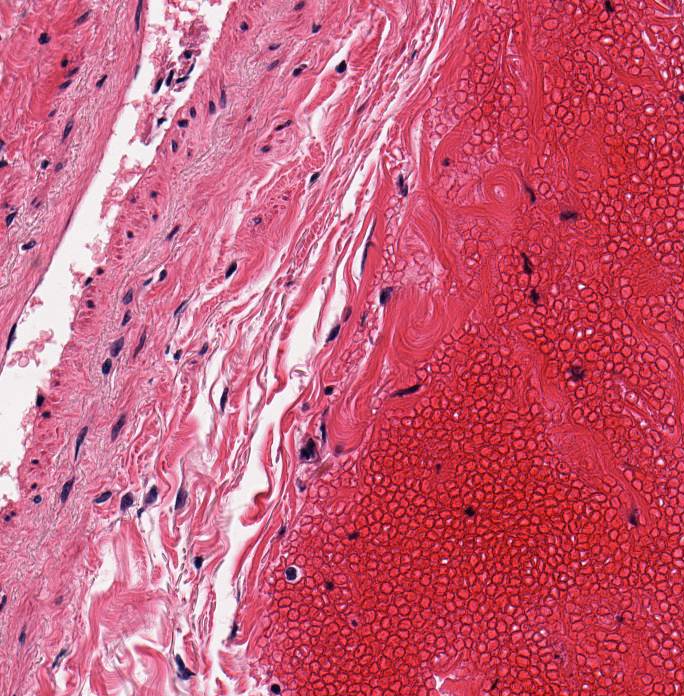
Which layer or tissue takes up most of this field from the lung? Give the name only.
blood in a vessel or clot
